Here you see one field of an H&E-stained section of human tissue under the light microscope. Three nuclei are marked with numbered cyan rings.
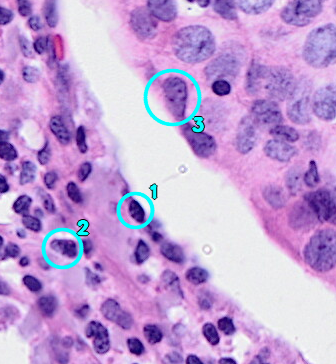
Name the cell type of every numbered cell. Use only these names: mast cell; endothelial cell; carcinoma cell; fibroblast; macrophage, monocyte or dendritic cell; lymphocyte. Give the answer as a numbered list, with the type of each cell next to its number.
1. lymphocyte
2. lymphocyte
3. carcinoma cell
